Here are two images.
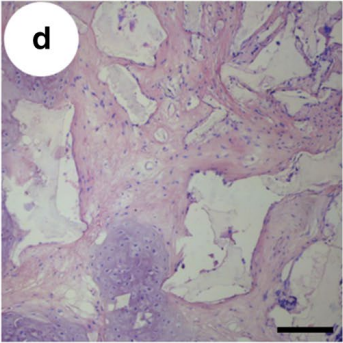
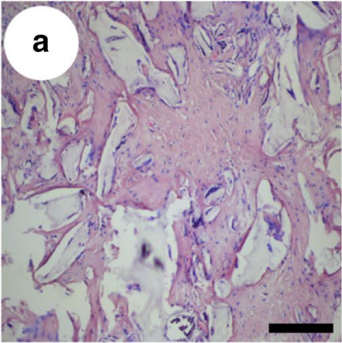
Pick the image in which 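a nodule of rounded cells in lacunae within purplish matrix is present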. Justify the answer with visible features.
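The first image. Second image: only pink fibrous tissue with spindle-shaped cells between pale scaffold spaces. First image: a purplish nodule of rounded cells in lacunae near the lower left.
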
